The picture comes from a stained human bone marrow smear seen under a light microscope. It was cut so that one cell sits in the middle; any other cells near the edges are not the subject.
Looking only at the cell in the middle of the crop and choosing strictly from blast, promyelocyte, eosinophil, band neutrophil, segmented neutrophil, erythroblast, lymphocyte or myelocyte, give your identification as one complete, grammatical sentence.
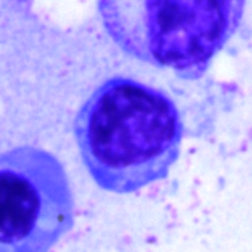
The central cell shown in this smear crop is a lymphocyte.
